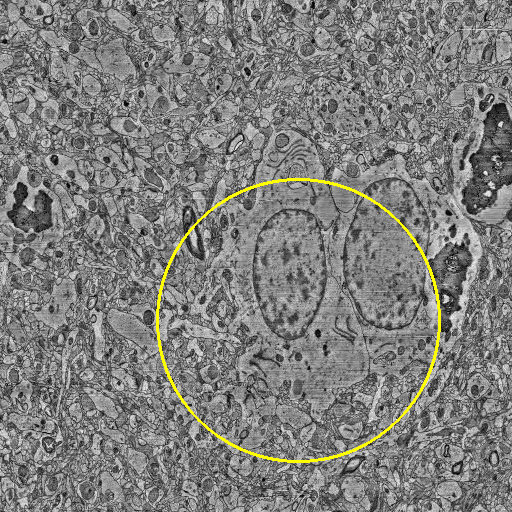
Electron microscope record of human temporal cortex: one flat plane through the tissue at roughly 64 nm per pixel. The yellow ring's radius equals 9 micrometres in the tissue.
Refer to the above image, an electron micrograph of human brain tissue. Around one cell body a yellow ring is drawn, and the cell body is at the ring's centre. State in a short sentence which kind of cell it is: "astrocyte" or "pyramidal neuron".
The centre of the ring falls on an astrocyte.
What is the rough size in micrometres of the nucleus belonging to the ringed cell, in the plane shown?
About 9 by 5 micrometres in this plane; clearly longer than it is wide.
